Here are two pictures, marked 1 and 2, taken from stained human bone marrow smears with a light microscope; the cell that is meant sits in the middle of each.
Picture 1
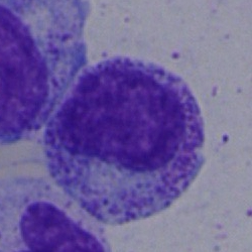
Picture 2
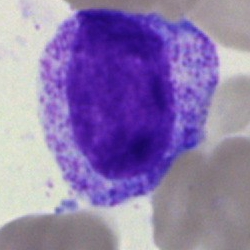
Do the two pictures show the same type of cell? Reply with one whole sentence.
Yes, they are the same type: both are myelocytes.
